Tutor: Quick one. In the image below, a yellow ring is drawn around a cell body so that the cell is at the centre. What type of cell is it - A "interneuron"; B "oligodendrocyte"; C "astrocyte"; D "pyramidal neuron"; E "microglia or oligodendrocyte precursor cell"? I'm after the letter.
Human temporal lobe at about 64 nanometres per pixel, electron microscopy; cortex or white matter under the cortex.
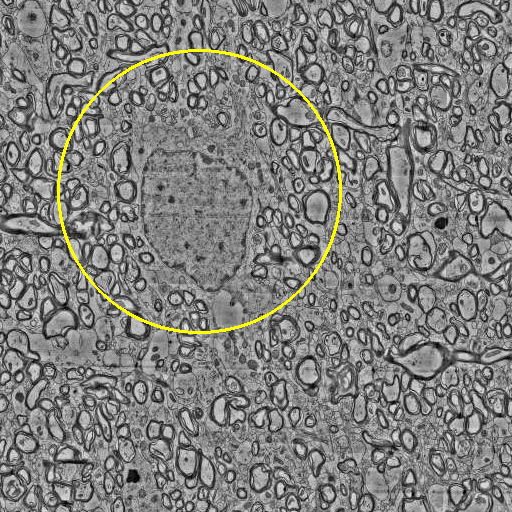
C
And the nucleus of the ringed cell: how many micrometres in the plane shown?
Approximately 10 x 7 micrometres in this plane.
